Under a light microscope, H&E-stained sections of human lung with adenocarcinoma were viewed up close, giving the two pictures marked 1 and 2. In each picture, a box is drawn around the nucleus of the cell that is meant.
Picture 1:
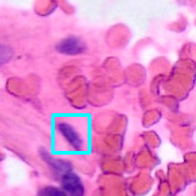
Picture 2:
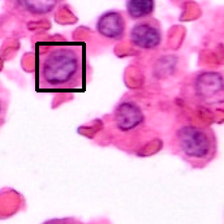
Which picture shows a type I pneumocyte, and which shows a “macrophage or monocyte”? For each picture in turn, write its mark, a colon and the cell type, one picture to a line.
1: type I pneumocyte
2: macrophage or monocyte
